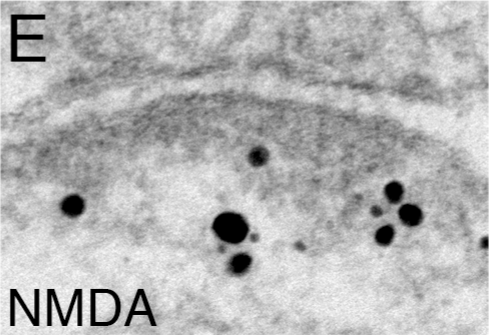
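A presynaptic terminal lies at the top, separated by a narrow cleft from a curved postsynaptic membrane lined by a dark, thickened postsynaptic density. Dense black grains of varying size lie in the pale postsynaptic cytoplasm, mostly some distance below the density rather than along it, some scattered singly and some in a small cluster of four at the right. Smaller dark dots accompany the larger grains. The cytoplasm beneath the density is finely granular, without obvious organelles in the field.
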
